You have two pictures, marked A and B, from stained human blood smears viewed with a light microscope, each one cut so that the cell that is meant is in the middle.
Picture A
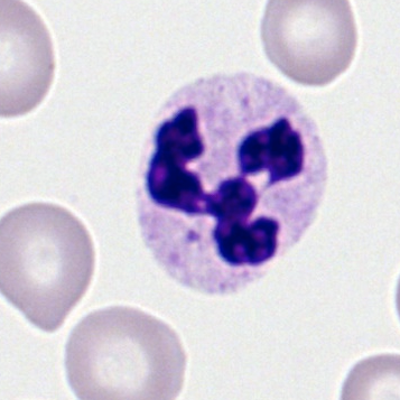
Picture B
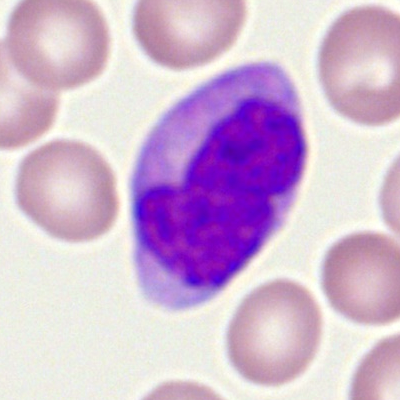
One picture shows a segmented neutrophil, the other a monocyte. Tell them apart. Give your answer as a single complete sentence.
Picture A is of a segmented neutrophil, and picture B is of a monocyte.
